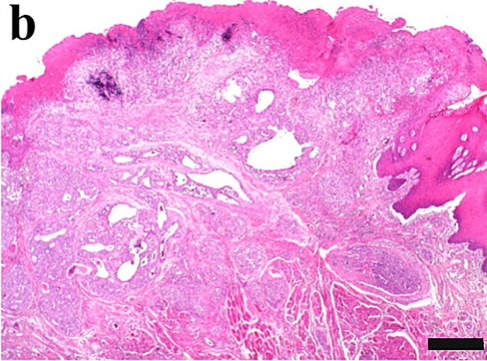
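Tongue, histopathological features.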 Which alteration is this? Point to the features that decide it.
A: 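Pink surface epithelium runs along the top edge. Beneath it, the tissue is divided into rounded cellular lobules separated by fibrous septa. The lobules reach down to strands of muscle at the lower edge. The answer: lobular proliferation.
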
